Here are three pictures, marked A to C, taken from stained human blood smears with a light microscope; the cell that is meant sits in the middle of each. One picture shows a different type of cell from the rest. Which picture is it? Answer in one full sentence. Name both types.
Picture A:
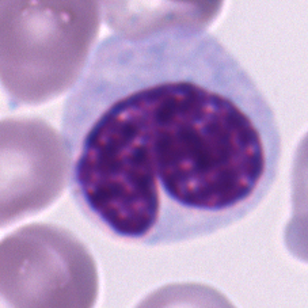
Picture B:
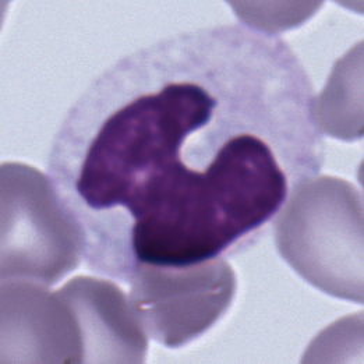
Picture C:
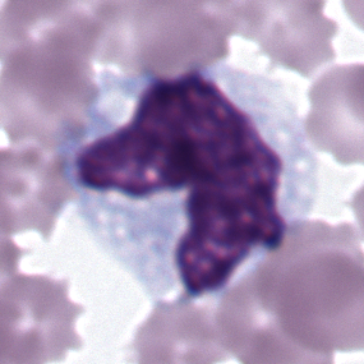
Unlike the rest, which show band neutrophils, picture C shows a monocyte.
